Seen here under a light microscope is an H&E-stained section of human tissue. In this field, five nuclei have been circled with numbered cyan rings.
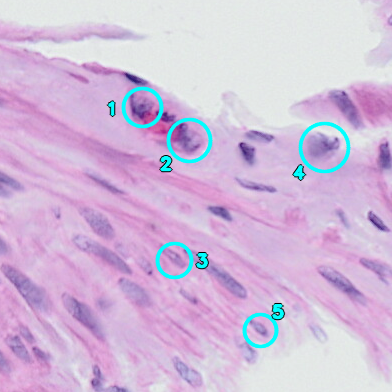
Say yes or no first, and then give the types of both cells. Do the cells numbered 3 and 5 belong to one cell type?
Yes, cell number 3 and cell number 5 are both smooth muscle cells.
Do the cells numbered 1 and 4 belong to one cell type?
No; whereas cell 1 is an endothelial cell, cell 4 is a fibroblast.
